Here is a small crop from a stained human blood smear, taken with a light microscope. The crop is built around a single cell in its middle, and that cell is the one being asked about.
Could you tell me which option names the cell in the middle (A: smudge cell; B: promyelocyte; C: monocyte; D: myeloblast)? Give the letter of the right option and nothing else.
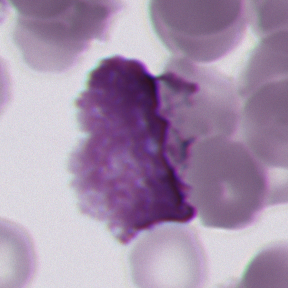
A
